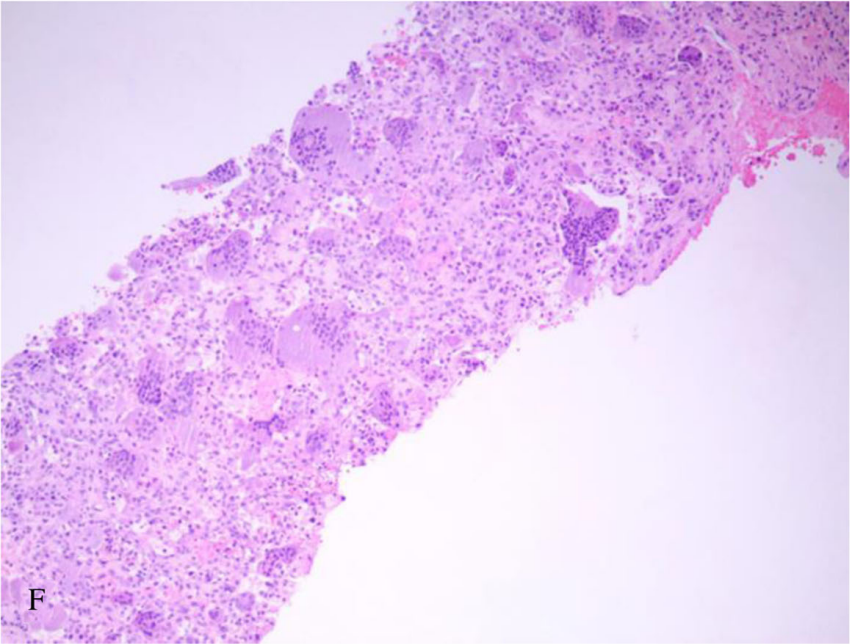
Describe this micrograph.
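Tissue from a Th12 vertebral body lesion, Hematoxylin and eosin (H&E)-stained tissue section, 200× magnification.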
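This is a densely cellular, solid tumour tissue made of sheets of mononuclear cells with numerous osteoclast-like giant cells scattered evenly among them. The mononuclear cells are small to medium-sized, with round to oval purple nuclei and pale pink cytoplasm, and they lie packed together without forming glands or other structures. A little red blood lies at the edge of the strip of tissue.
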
